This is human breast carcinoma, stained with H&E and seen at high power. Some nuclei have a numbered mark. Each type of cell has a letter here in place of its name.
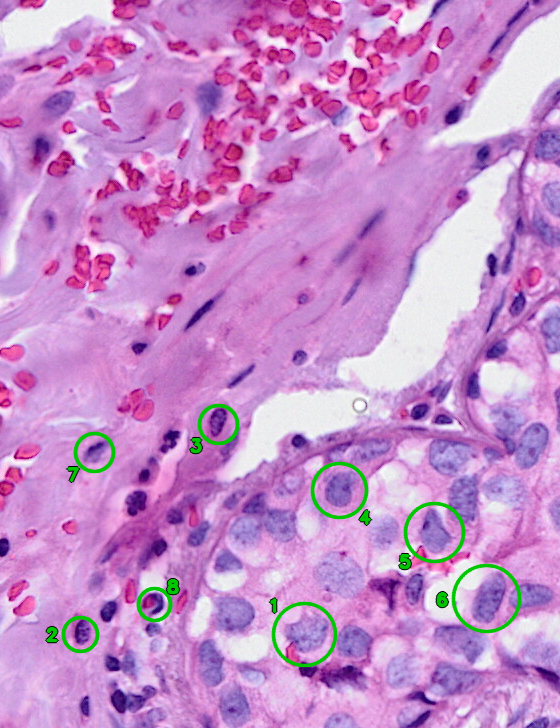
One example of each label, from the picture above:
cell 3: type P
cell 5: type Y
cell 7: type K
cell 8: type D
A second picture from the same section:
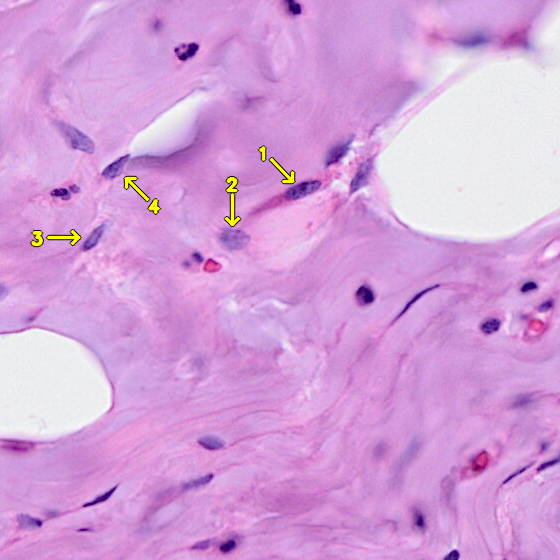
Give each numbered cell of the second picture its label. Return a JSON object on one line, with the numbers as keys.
{"1": "type P", "2": "type K", "3": "type K", "4": "type K"}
